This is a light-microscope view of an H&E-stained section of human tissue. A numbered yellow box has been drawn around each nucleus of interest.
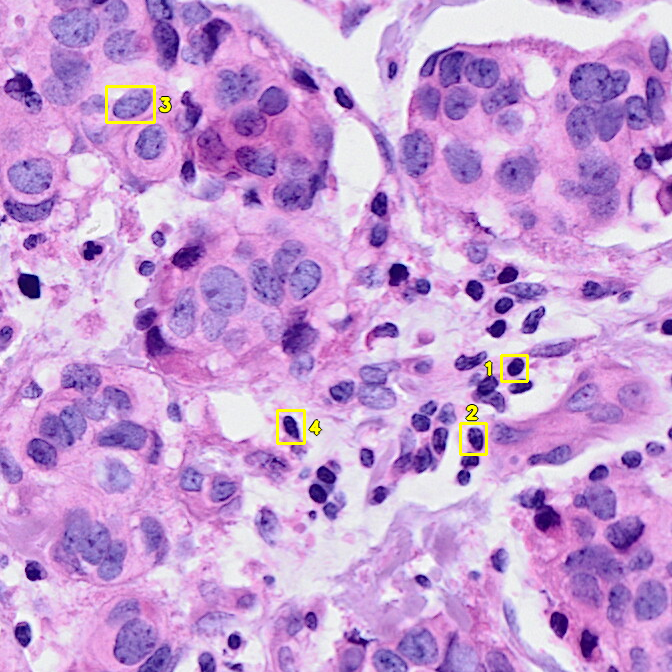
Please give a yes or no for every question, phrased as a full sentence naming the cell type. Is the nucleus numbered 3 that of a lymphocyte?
No, it is a carcinoma cell, not a lymphocyte, at number 3.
